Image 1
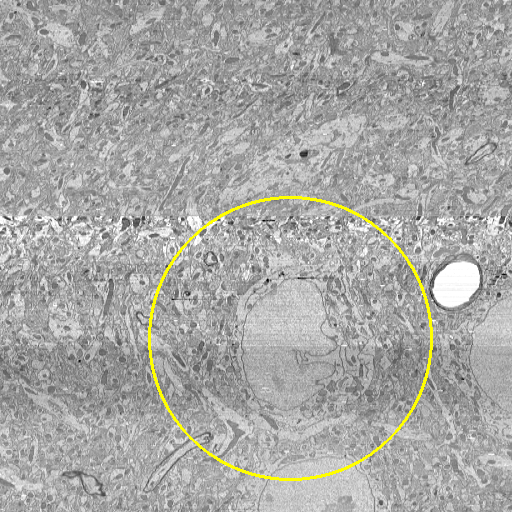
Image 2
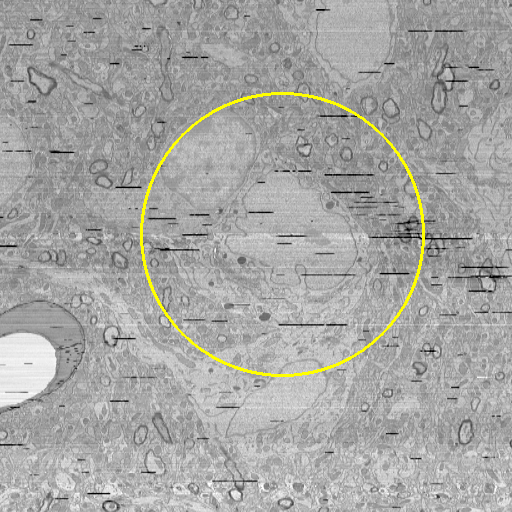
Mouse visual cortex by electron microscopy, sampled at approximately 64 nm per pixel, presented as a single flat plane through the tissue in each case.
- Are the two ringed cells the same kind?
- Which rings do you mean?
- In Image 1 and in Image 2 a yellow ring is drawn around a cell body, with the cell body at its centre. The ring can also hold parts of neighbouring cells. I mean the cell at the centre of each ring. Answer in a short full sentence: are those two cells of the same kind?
Yes, both cells are of the same kind.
